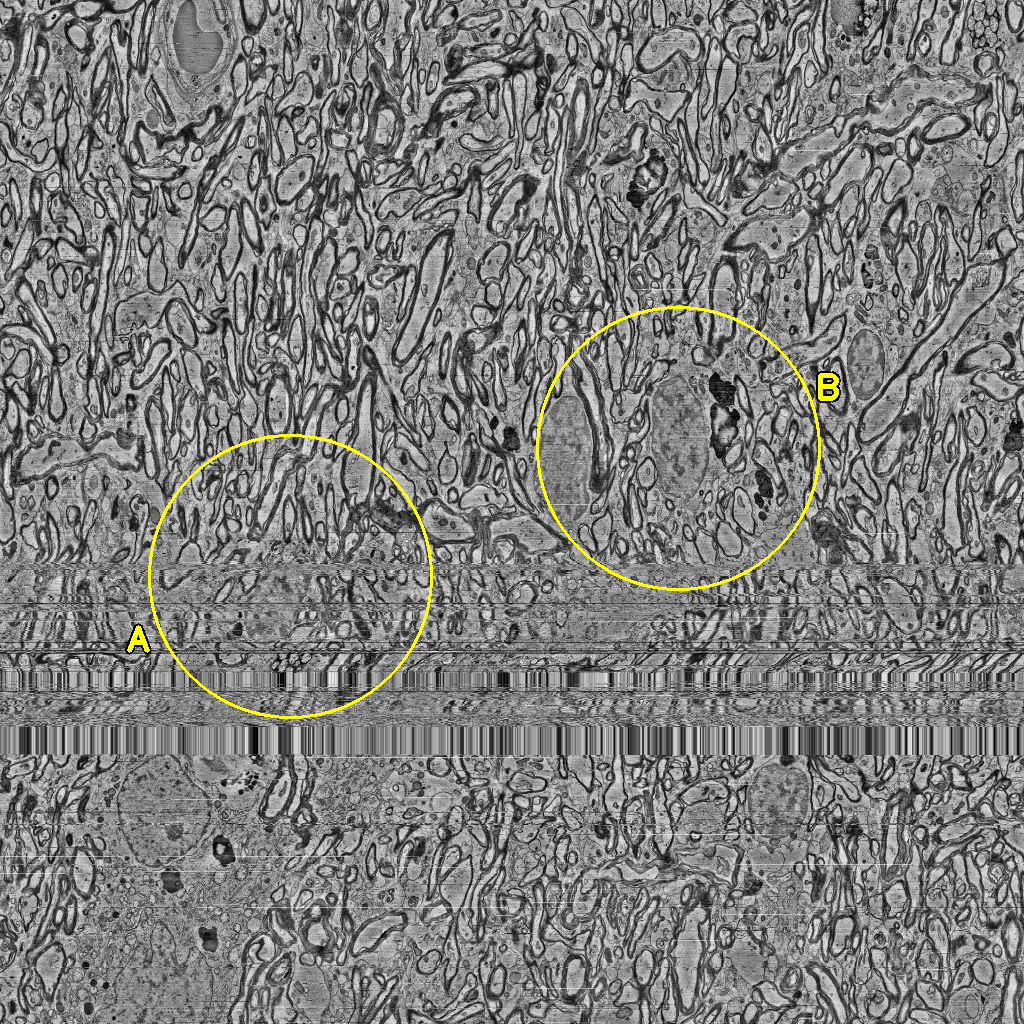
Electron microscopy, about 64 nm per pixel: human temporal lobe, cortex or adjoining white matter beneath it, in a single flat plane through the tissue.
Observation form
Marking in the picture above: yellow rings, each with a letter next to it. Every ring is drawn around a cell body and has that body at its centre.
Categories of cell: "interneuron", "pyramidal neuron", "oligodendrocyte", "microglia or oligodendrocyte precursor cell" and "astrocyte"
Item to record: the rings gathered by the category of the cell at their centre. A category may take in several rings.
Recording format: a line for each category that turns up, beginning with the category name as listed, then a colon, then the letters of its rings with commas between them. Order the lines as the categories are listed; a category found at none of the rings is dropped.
oligodendrocyte: B
microglia or oligodendrocyte precursor cell: A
